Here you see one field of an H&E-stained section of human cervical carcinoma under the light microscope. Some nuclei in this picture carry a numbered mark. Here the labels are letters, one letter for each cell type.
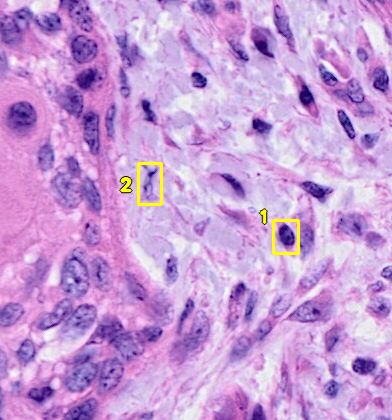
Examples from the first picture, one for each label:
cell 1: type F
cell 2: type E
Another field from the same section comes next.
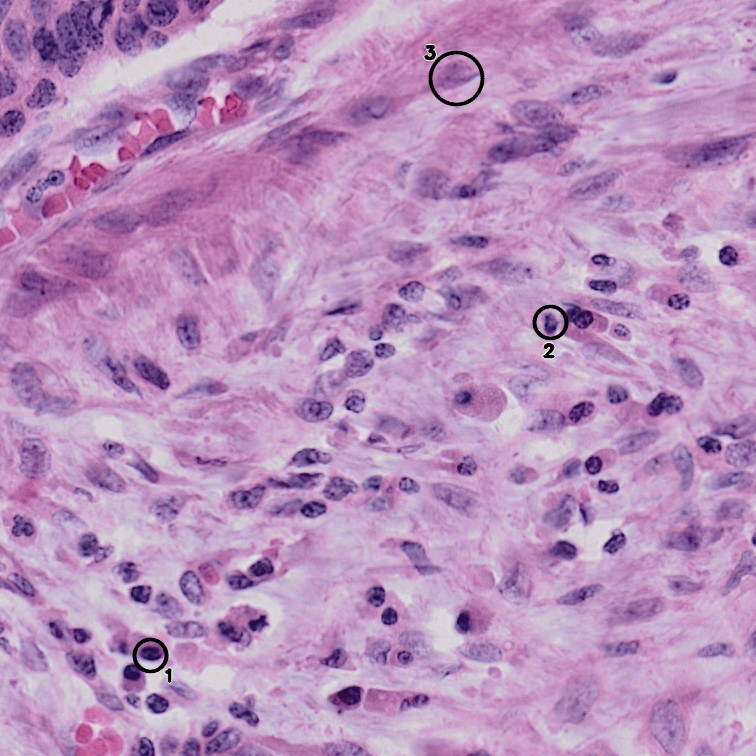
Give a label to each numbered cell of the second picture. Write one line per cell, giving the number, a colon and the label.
1: type F
2: type F
3: type E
